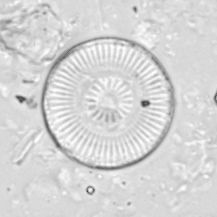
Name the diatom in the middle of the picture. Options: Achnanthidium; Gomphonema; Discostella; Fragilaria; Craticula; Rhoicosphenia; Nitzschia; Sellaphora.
Discostella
